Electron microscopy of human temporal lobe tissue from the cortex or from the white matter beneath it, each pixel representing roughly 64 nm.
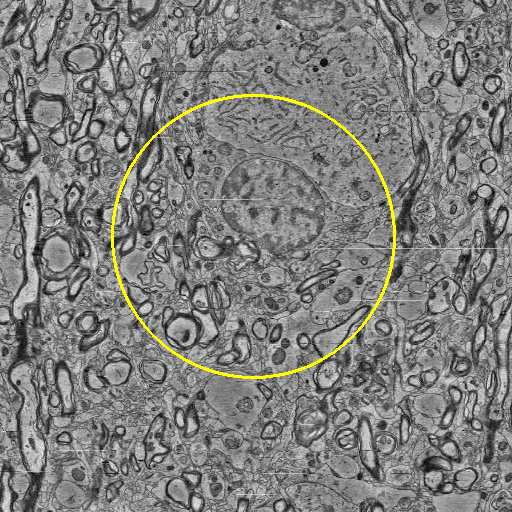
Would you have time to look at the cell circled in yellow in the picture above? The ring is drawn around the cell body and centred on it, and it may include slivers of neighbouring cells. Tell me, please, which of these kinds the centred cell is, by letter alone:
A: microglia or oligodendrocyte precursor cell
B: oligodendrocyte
B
